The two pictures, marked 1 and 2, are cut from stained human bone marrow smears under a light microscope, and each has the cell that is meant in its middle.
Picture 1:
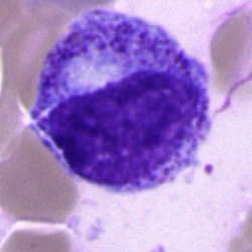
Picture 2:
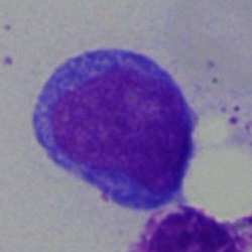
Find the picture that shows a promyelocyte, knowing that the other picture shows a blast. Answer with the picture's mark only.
1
